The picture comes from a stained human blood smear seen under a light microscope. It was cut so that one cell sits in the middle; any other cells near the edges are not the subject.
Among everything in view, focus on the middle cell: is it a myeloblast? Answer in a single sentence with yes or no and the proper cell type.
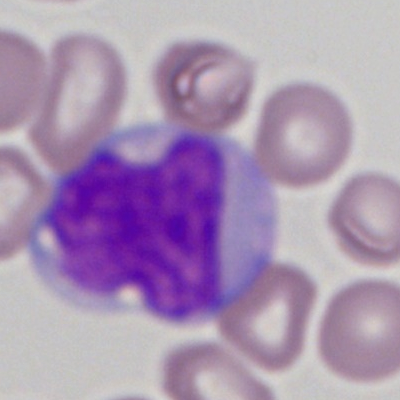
No, looking at the central cell, it is a monocyte rather than a myeloblast.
